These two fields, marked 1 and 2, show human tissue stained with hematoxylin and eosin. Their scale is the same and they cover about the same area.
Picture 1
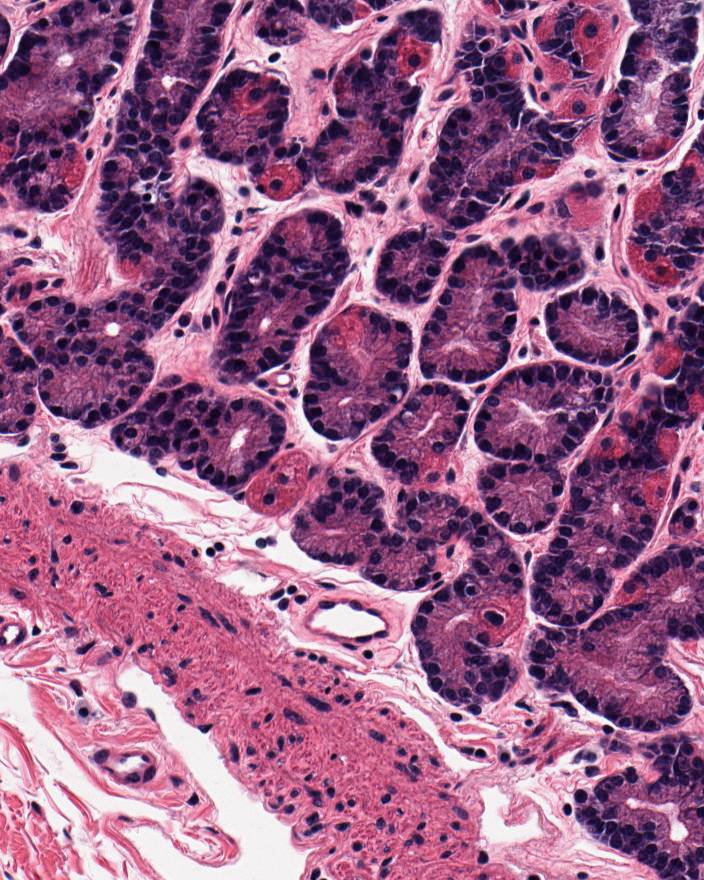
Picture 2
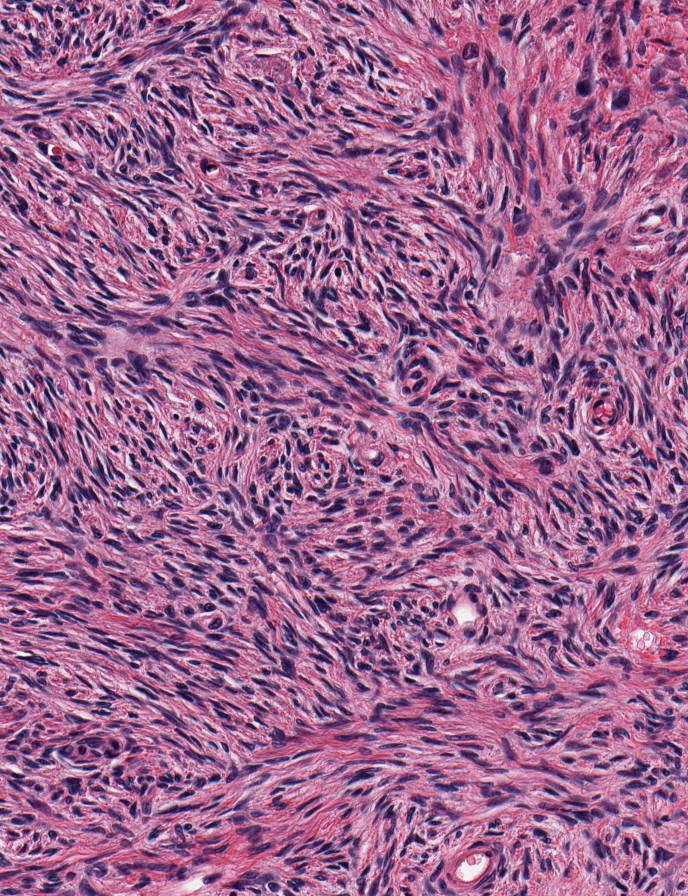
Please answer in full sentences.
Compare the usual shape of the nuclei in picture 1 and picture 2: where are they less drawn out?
The nuclei are rounder in picture 1.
